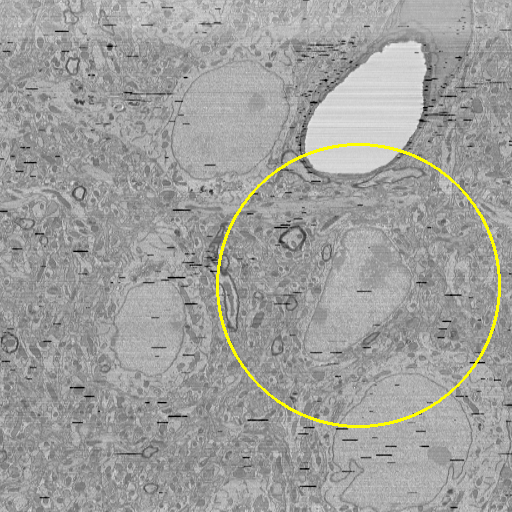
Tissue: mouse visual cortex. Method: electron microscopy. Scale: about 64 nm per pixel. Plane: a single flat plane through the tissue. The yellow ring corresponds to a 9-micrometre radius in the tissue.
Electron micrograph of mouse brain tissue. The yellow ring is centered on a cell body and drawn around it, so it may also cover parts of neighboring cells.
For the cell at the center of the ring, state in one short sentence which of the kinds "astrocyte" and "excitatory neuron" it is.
This ring is centered on an astrocyte.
